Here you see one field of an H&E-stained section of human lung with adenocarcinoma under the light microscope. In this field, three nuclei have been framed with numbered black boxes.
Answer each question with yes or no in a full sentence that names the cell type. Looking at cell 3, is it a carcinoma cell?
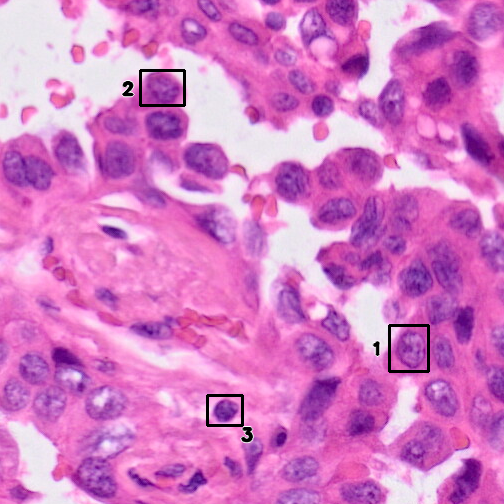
No, the cell under number 3 is a lymphocyte instead of a carcinoma cell.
